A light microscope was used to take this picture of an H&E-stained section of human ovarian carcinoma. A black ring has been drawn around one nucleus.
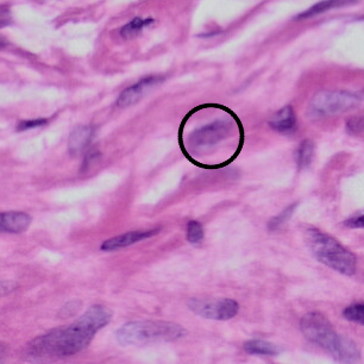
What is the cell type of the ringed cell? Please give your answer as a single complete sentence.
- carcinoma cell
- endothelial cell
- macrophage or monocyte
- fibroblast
The cell type of the ringed cell is that of a fibroblast.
